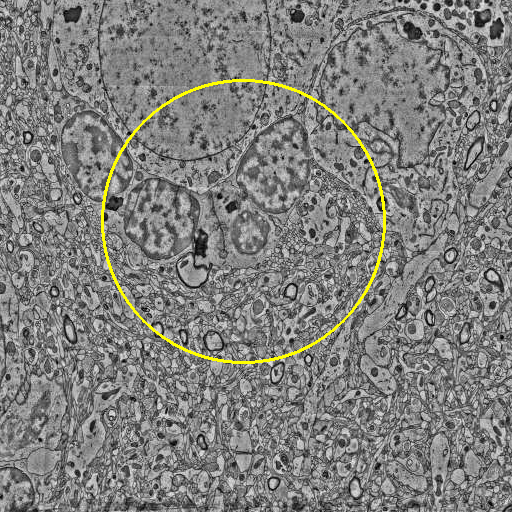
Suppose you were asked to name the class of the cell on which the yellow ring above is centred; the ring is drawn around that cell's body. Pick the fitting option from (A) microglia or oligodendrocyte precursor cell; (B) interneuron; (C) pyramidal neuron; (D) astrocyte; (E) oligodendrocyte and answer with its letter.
E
